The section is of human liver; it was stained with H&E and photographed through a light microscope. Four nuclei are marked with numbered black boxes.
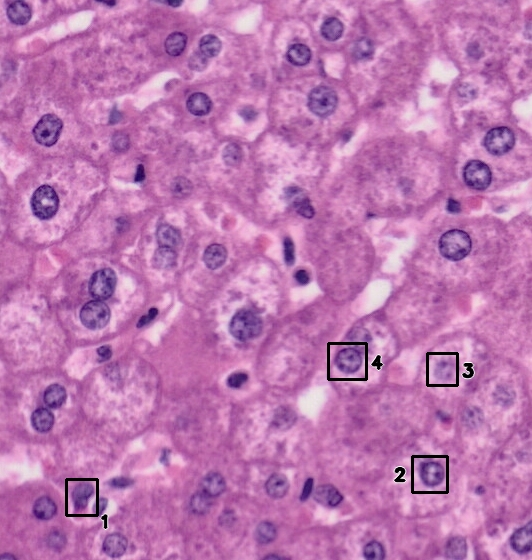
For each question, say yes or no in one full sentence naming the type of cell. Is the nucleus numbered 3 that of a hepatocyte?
Yes, cell 3 is a hepatocyte in this tissue section.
